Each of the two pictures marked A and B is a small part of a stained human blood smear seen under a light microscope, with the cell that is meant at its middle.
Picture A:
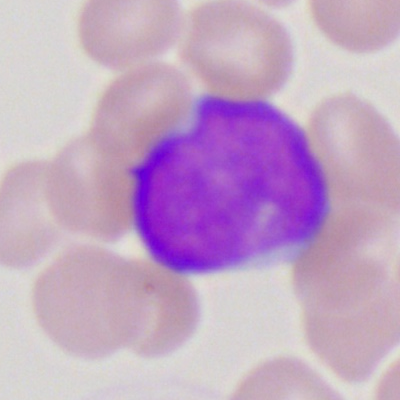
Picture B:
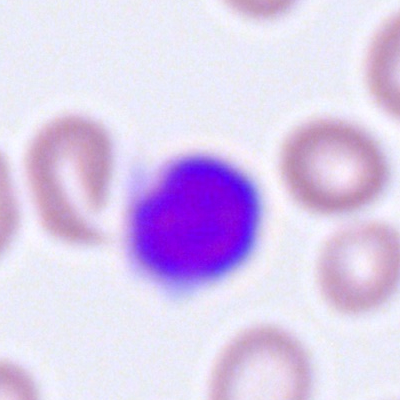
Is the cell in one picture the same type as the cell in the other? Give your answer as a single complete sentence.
No; the cell in picture A is a myeloblast, while the one in picture B is a lymphocyte.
